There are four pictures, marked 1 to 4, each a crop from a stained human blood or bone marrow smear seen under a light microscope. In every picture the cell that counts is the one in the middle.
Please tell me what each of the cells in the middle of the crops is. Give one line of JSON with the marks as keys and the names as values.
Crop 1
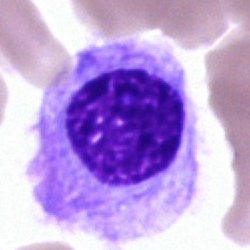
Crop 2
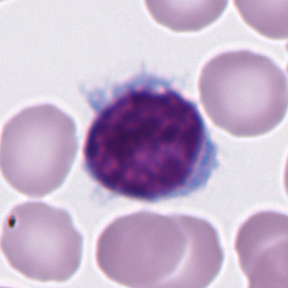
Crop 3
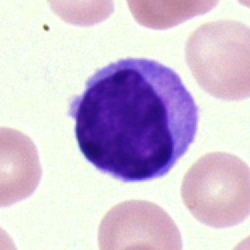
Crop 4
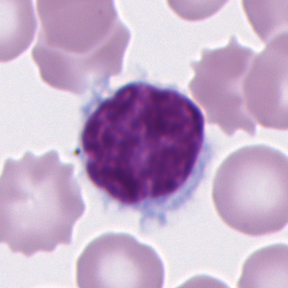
{"1": "hairy cell", "2": "hairy cell", "3": "lymphocyte", "4": "hairy cell"}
